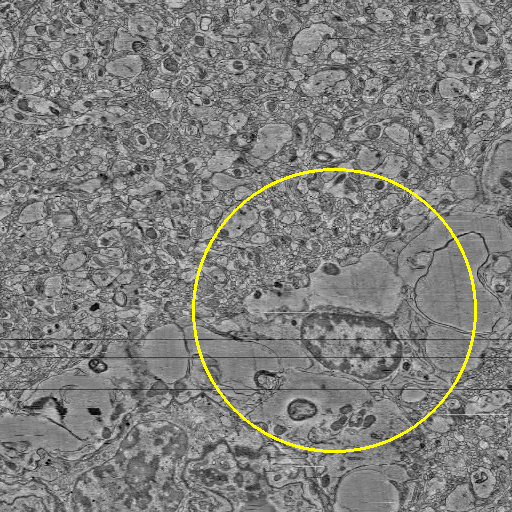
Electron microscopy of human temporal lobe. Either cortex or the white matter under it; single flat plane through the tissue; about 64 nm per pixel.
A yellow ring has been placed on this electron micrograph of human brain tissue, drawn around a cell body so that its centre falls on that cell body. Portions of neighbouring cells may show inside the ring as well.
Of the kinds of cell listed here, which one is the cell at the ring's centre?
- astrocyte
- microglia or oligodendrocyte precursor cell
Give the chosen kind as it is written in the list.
microglia or oligodendrocyte precursor cell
